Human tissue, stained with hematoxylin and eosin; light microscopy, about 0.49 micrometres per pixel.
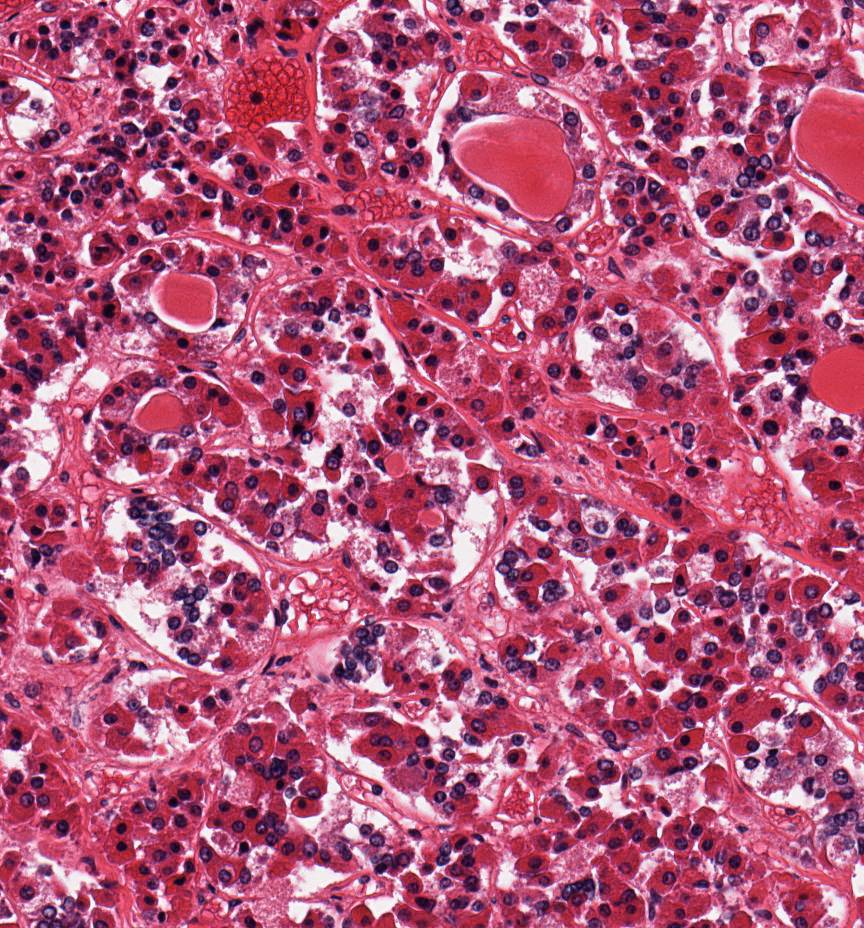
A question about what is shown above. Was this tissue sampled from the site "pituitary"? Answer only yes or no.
yes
